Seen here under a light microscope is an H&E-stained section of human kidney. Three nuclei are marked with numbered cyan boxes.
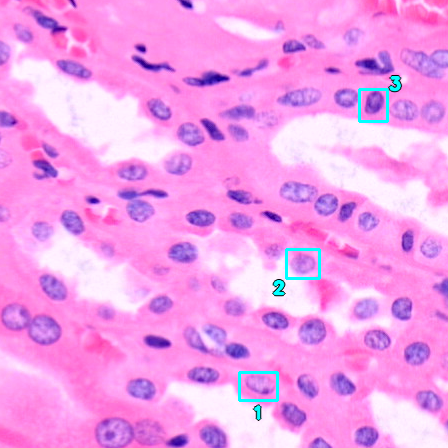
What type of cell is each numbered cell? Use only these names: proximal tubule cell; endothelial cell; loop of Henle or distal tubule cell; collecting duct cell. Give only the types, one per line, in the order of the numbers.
loop of Henle or distal tubule cell
loop of Henle or distal tubule cell
collecting duct cell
